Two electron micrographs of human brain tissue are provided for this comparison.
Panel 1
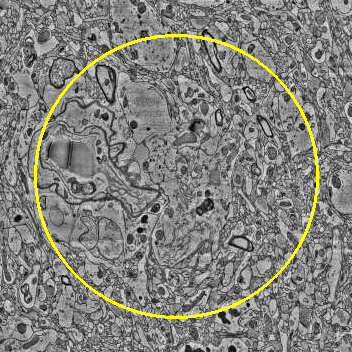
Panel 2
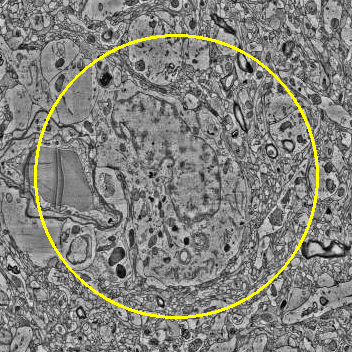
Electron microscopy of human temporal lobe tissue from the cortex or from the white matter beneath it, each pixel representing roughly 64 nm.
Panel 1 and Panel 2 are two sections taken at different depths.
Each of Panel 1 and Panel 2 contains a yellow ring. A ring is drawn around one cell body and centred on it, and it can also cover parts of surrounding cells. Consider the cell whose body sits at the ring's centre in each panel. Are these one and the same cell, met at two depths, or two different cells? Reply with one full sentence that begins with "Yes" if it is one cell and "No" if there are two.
Yes, both rings are placed on a single cell.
